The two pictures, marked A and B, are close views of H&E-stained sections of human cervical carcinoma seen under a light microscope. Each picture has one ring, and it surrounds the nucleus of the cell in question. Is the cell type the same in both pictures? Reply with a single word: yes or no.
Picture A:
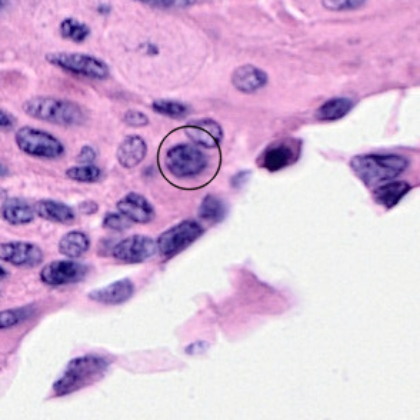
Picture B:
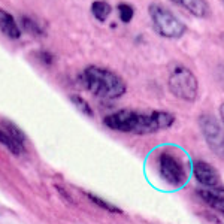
yes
